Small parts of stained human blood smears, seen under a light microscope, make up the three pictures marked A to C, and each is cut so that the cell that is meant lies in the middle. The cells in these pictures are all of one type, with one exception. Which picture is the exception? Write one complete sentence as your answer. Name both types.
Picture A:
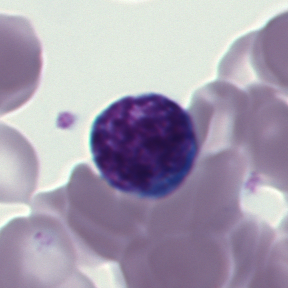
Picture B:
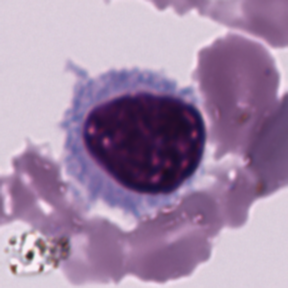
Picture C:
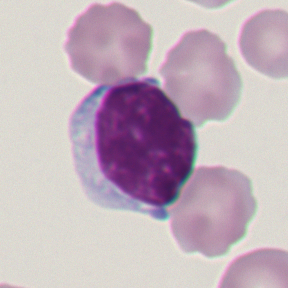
Picture B is the odd one out: it shows a hairy cell, while the others show typical lymphocytes.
